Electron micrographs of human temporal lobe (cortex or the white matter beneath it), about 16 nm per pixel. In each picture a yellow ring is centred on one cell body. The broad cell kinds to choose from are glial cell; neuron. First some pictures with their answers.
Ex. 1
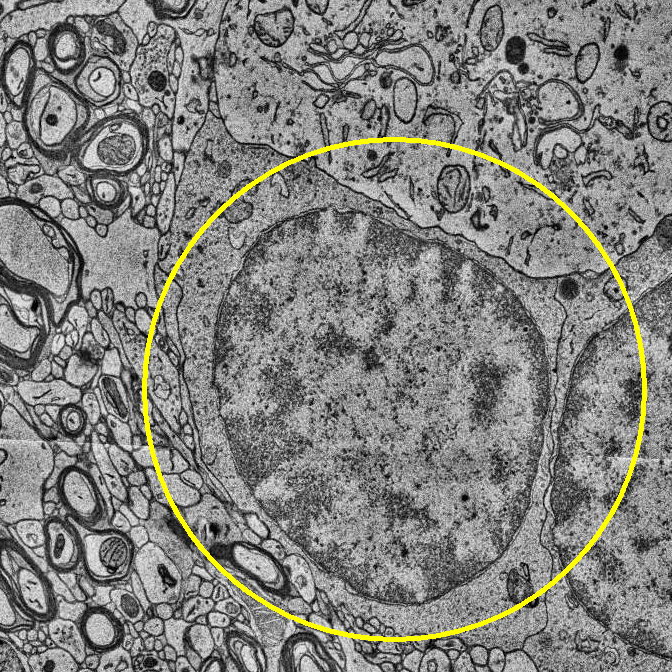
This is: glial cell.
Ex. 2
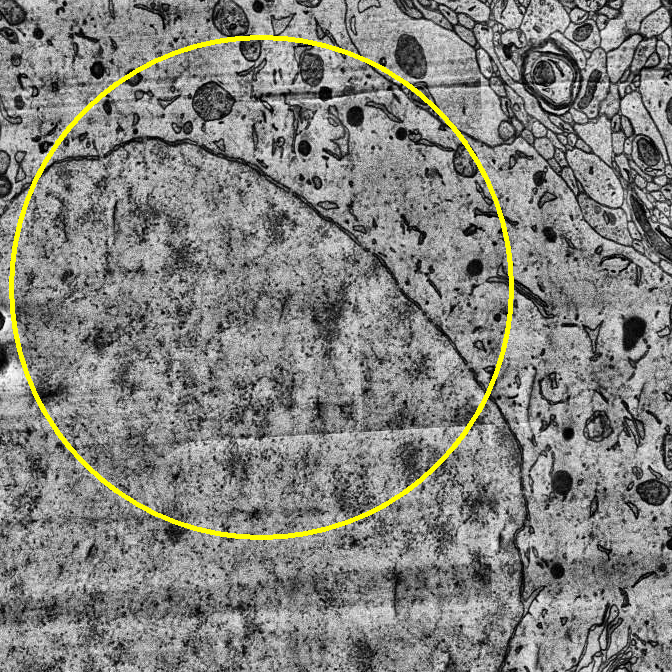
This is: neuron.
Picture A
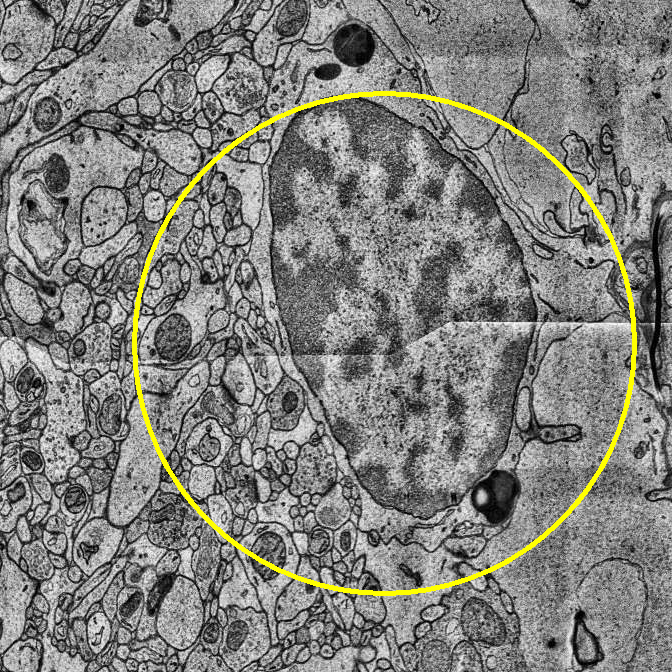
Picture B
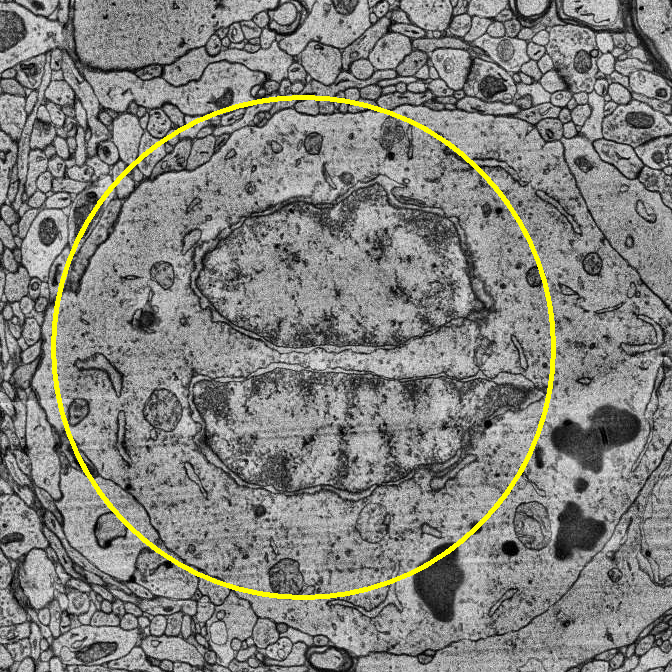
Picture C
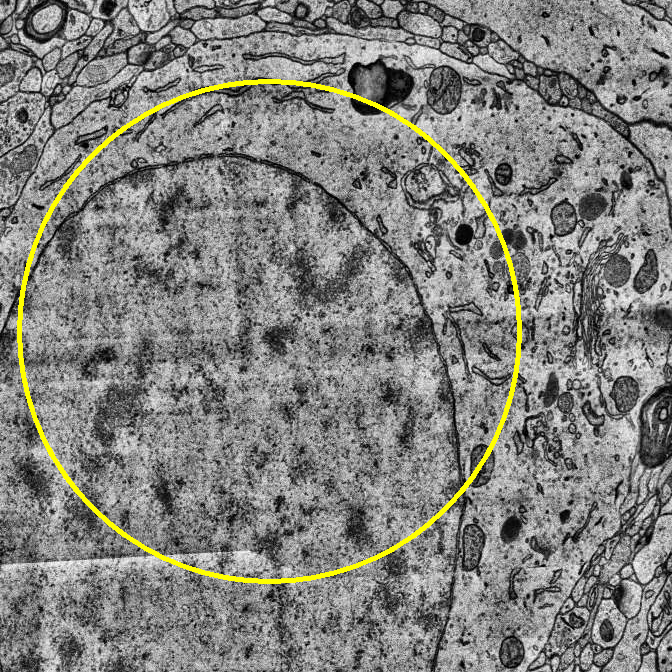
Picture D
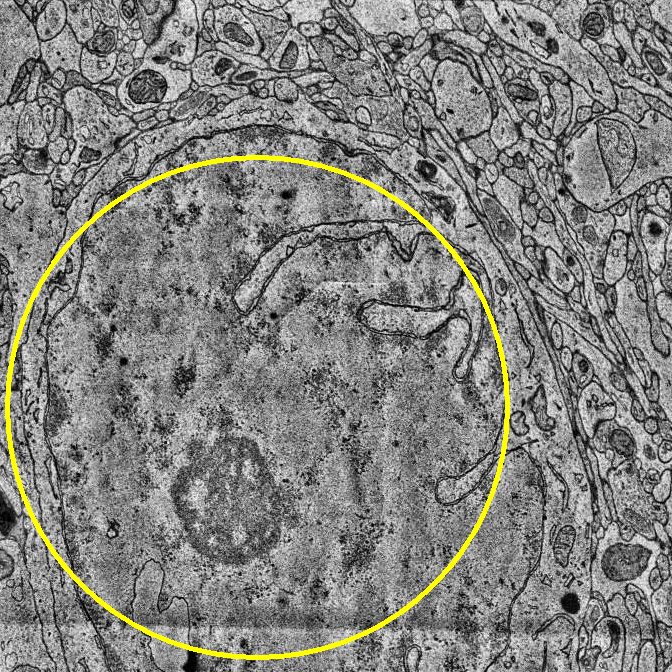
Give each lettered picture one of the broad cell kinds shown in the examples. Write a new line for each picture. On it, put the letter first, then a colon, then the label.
A: glial cell.
B: neuron.
C: neuron.
D: neuron.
